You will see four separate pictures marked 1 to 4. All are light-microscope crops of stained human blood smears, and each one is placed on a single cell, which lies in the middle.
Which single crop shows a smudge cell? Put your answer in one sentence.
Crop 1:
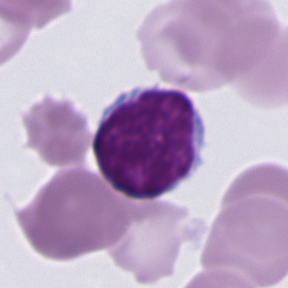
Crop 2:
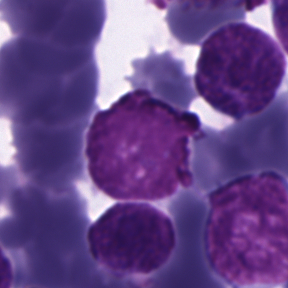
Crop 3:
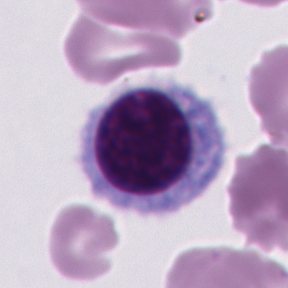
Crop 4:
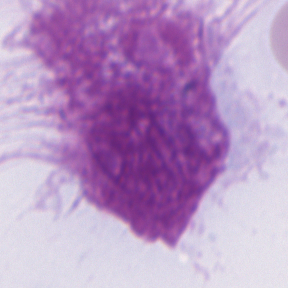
Among the crops given, only crop 4 shows a smudge cell.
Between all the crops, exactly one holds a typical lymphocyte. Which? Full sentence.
On review of the set, crop 1 is the one showing a typical lymphocyte.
